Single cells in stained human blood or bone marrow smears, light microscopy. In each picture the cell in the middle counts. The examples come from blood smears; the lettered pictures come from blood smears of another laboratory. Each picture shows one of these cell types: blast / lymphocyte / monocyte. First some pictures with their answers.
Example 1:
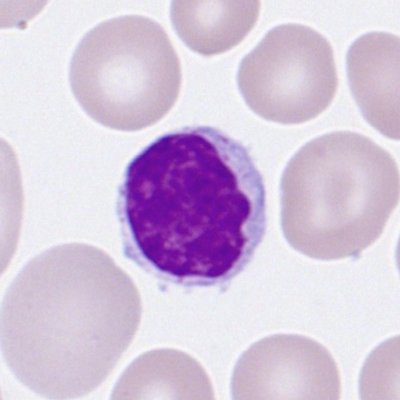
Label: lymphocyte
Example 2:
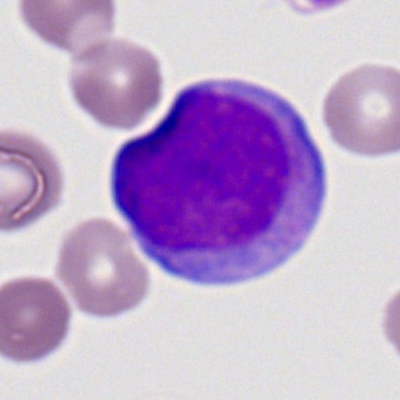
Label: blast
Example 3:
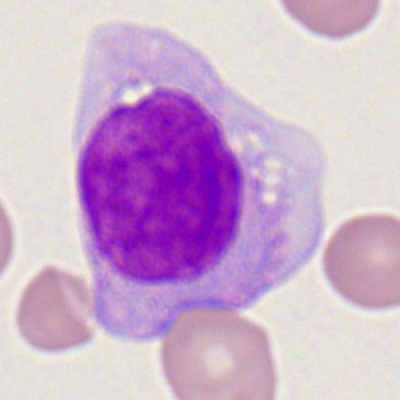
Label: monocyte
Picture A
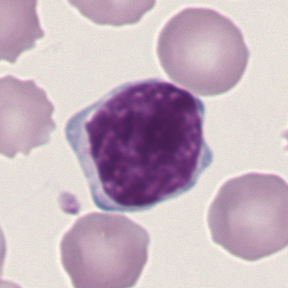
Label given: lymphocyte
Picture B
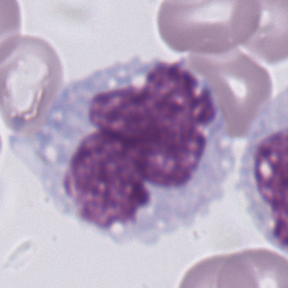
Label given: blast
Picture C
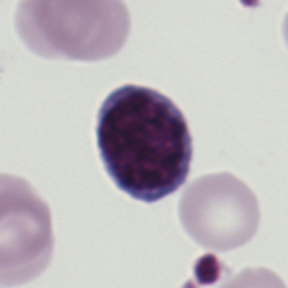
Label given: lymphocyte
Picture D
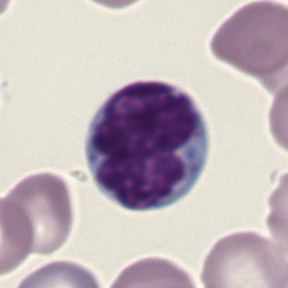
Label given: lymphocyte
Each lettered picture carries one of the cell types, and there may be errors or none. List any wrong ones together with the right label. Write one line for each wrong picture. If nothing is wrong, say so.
B: monocyte, not blast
